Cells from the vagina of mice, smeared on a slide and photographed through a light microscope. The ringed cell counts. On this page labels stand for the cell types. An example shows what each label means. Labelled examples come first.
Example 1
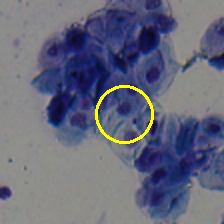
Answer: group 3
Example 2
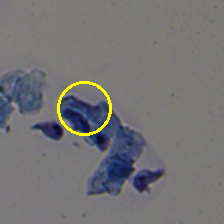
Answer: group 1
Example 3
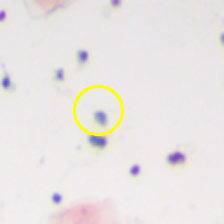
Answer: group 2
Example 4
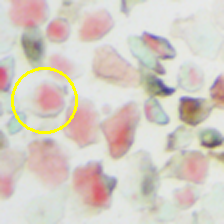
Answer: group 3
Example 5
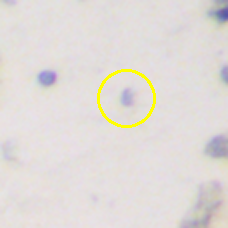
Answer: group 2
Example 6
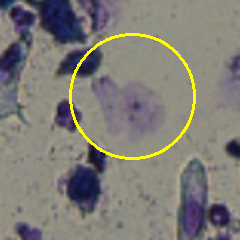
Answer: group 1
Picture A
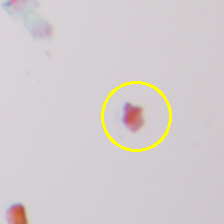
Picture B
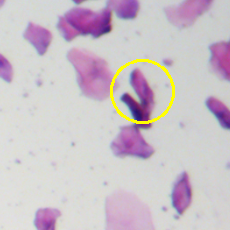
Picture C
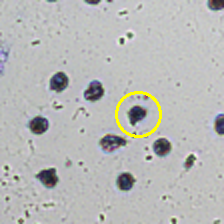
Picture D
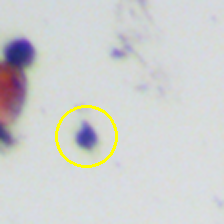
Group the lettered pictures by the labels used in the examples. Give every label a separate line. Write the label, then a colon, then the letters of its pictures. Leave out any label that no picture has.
group 1: A, B
group 2: C, D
